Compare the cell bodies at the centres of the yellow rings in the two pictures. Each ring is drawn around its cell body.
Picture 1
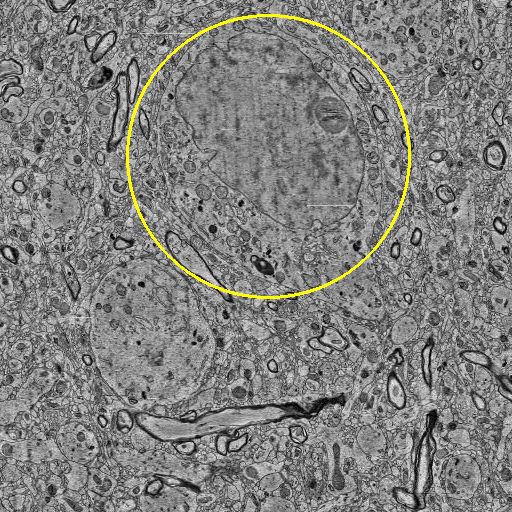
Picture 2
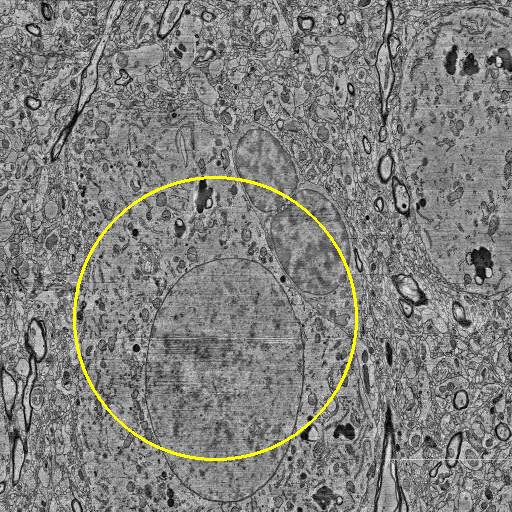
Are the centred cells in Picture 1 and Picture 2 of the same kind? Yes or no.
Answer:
yes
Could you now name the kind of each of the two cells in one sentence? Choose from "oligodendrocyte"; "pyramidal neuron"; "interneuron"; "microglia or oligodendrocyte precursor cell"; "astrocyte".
Each cell, in the first picture and the second, is a pyramidal neuron.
